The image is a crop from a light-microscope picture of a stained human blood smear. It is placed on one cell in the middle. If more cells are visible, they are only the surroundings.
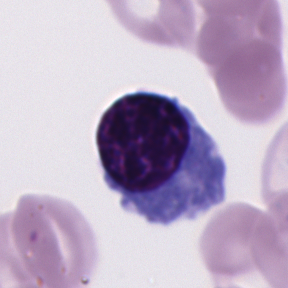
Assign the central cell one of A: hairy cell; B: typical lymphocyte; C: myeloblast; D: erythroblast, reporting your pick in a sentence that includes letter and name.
The correct choice is option D, which identifies the middle cell as an erythroblast.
